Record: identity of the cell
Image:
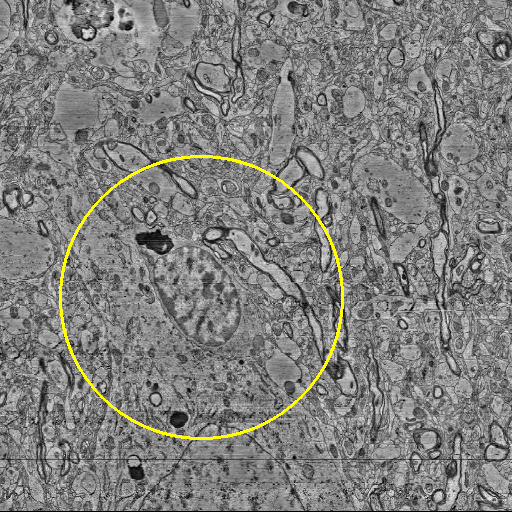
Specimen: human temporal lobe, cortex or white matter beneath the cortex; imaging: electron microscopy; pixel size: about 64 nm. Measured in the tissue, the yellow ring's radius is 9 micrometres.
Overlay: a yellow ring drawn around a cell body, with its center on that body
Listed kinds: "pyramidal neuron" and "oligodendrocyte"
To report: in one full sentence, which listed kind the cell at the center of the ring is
In the image, the cell body at the ring's center belongs to an oligodendrocyte.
